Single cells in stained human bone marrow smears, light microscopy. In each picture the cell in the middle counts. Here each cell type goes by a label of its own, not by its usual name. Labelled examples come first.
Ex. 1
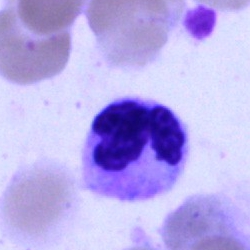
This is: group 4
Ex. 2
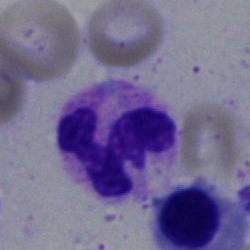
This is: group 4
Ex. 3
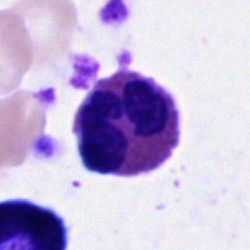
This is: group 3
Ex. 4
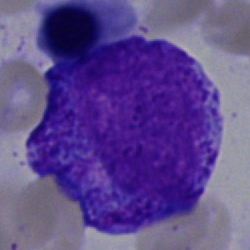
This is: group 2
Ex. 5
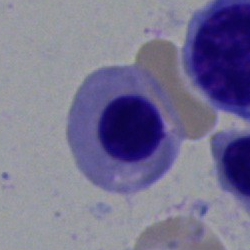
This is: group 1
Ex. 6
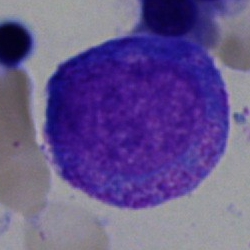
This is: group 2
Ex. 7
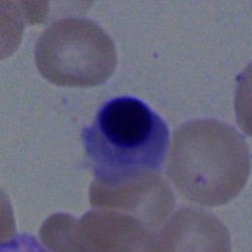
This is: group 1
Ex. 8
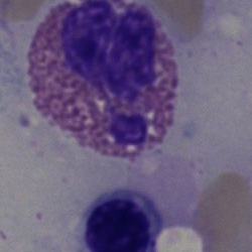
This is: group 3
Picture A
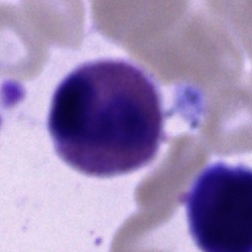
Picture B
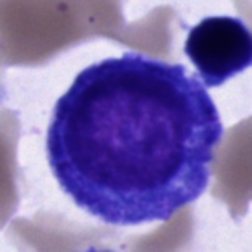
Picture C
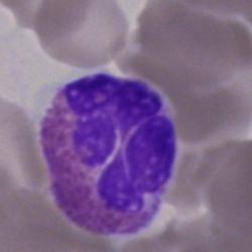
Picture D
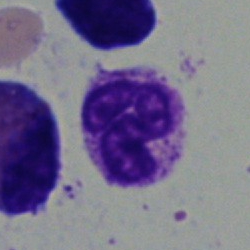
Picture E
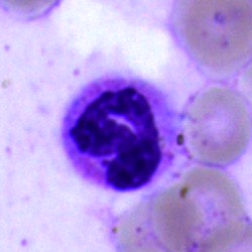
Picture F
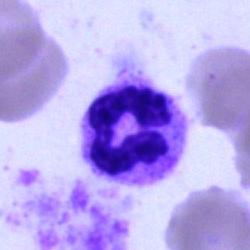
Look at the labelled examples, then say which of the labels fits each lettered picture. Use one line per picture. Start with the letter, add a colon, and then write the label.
A: group 3
B: group 2
C: group 3
D: group 4
E: group 4
F: group 4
